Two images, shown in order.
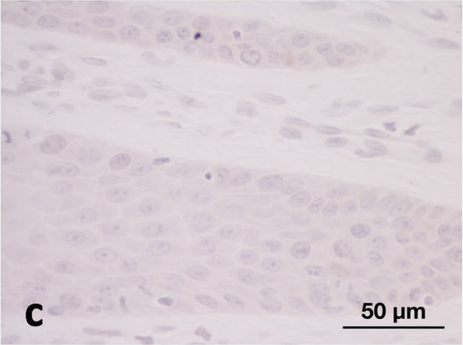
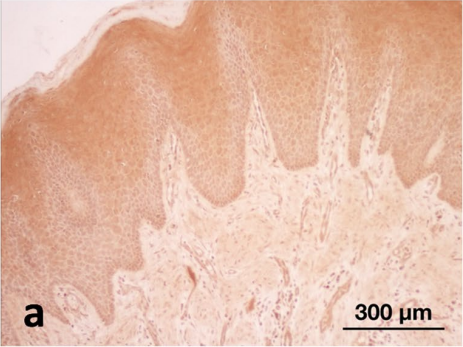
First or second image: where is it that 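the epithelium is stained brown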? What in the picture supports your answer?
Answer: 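First image: epithelial cells show only pale blue nuclei with no brown colour. Second image: the whole stratified epithelium is diffusely brown. On this evidence: the second image.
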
